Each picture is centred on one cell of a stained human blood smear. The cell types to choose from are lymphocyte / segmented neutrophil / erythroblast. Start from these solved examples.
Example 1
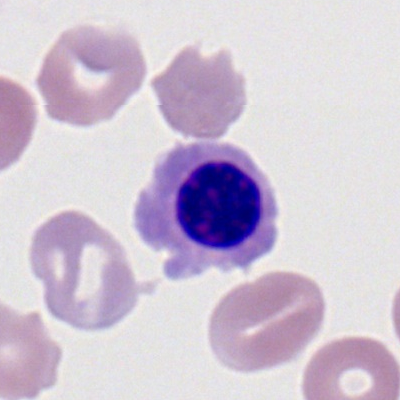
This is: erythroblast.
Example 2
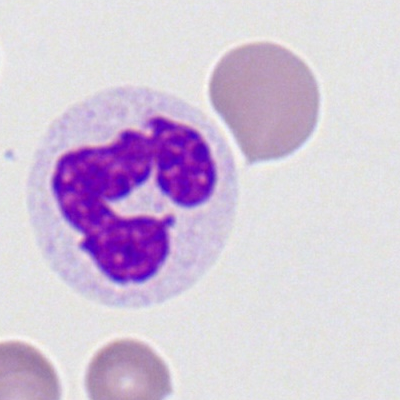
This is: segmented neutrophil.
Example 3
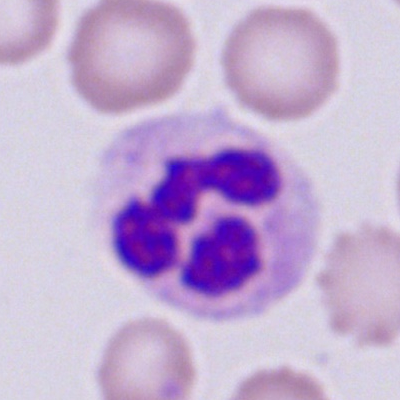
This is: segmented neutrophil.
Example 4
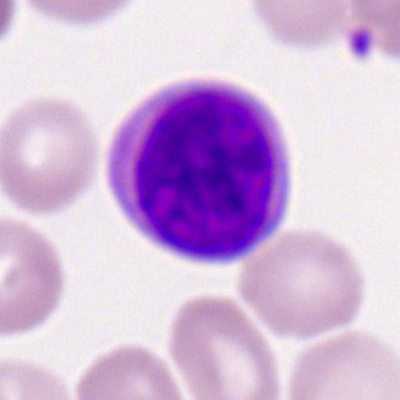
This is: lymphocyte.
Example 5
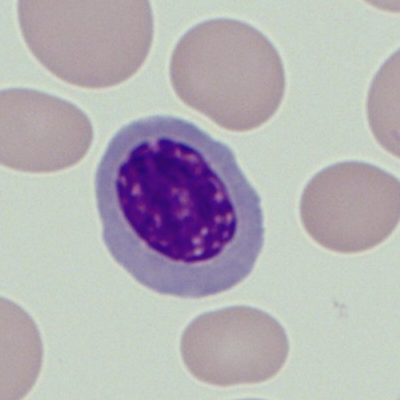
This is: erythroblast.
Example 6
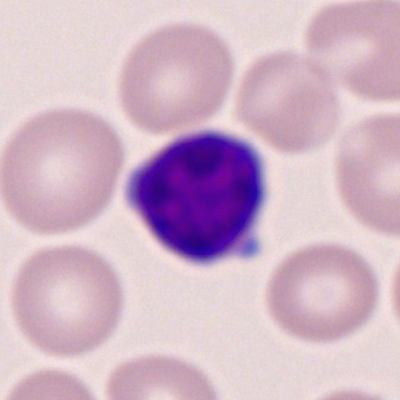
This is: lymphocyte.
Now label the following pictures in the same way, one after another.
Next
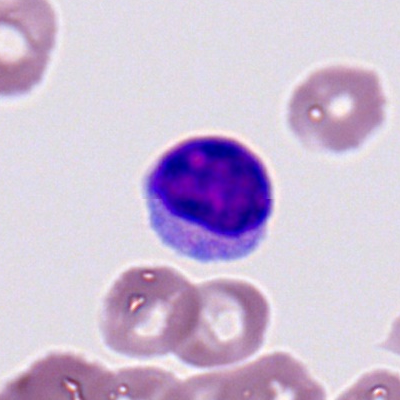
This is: lymphocyte.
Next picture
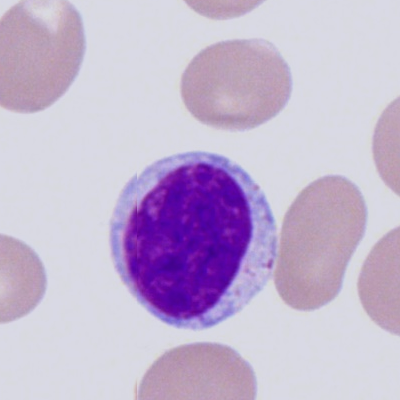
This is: lymphocyte.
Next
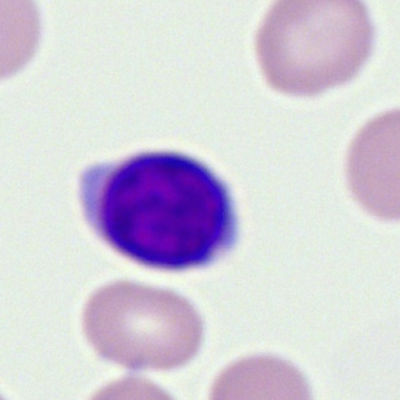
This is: lymphocyte.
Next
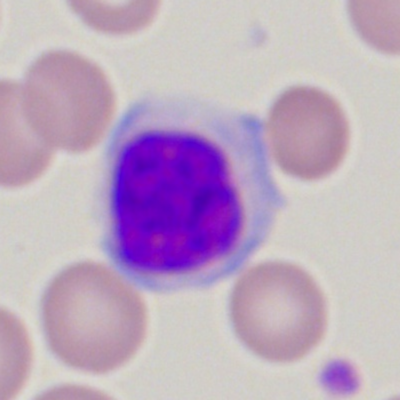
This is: lymphocyte.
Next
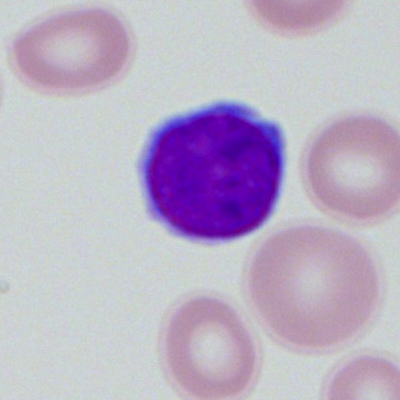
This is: lymphocyte.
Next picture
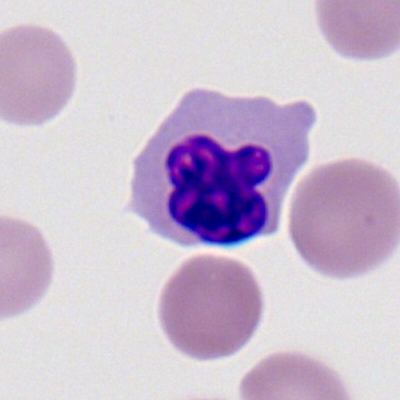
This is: erythroblast.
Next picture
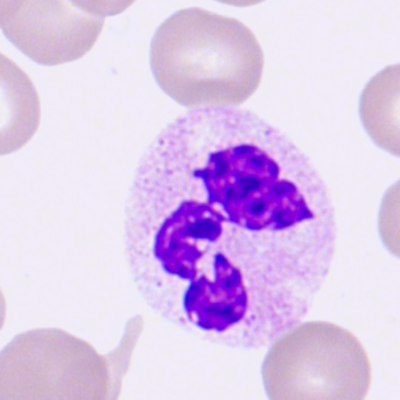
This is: segmented neutrophil.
